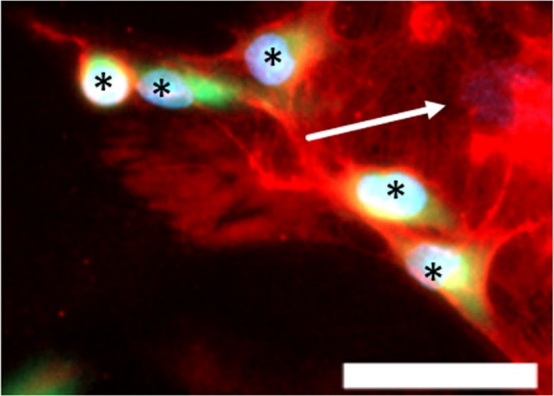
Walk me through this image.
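A larger flat cell with a faint, pale blue oval nucleus and no green label lies right of centre within the red network. The red material extends in fine filaments around the green cells, which are in close contact with it.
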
